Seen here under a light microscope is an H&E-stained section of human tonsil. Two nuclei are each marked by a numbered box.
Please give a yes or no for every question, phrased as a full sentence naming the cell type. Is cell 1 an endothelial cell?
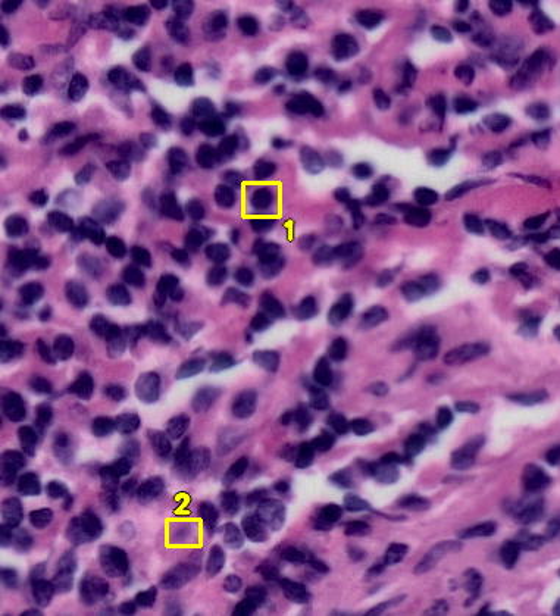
No, the cell referred to as 1 is a small lymphocyte, not an endothelial cell.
